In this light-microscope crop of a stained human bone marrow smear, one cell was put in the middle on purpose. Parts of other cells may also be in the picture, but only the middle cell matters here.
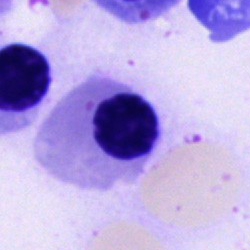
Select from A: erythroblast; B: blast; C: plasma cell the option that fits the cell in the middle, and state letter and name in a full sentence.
Here the right option is A, as the cell in the middle is an erythroblast.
